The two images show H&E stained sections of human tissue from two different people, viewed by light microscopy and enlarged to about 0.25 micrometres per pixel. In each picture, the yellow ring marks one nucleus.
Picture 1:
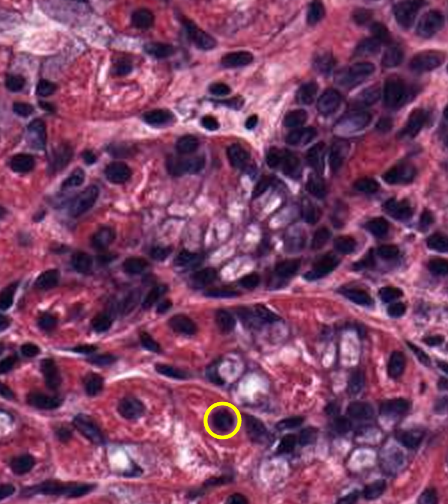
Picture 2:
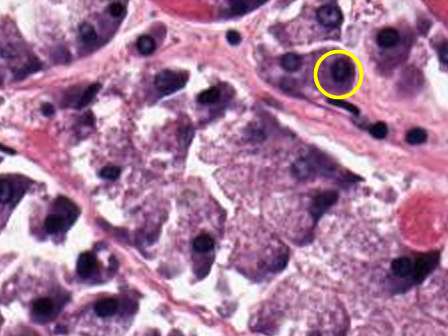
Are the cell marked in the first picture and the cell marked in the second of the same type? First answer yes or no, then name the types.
No, the first is a parietal cell and the second a chief cell.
